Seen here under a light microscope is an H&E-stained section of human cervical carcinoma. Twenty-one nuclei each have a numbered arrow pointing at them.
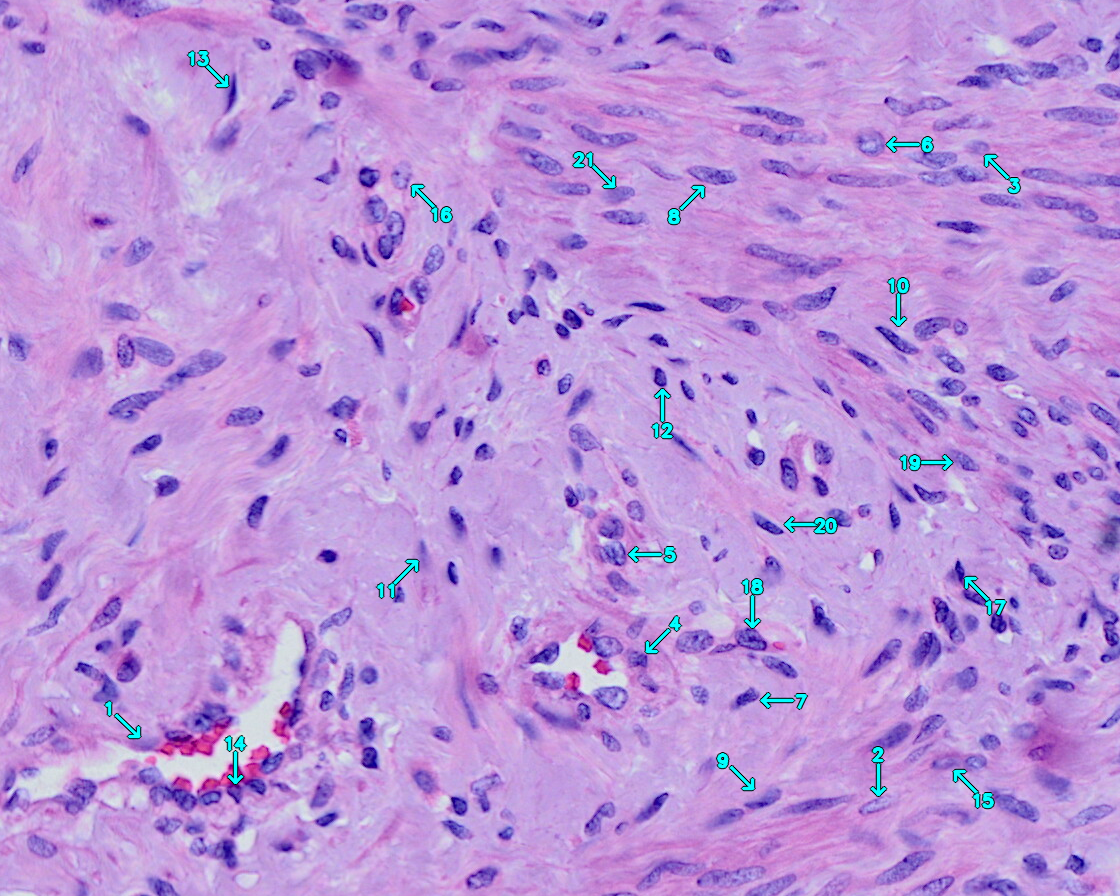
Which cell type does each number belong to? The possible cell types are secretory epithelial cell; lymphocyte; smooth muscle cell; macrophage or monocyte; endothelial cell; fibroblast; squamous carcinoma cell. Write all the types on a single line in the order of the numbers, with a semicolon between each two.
endothelial cell; smooth muscle cell; smooth muscle cell; endothelial cell; endothelial cell; smooth muscle cell; fibroblast; fibroblast; fibroblast; fibroblast; fibroblast; fibroblast; fibroblast; endothelial cell; smooth muscle cell; endothelial cell; fibroblast; endothelial cell; smooth muscle cell; fibroblast; smooth muscle cell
